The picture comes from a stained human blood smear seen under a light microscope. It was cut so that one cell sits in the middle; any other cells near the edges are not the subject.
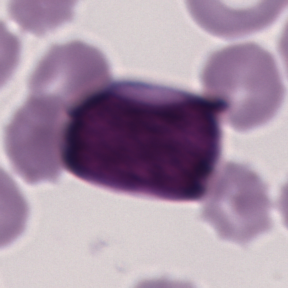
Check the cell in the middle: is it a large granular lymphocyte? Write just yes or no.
no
